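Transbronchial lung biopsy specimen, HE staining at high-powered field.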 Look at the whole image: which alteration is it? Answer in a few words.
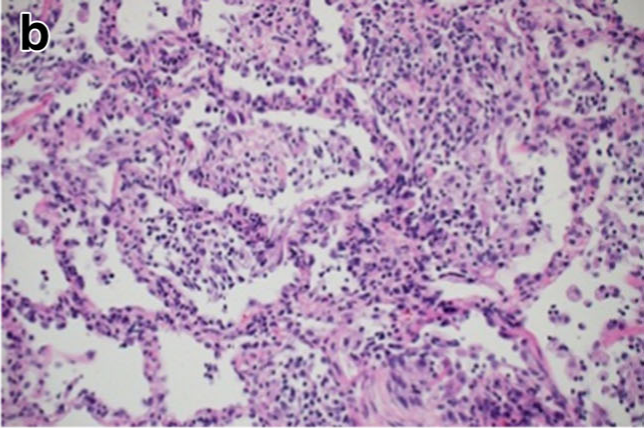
Lymphocytic alveolitis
